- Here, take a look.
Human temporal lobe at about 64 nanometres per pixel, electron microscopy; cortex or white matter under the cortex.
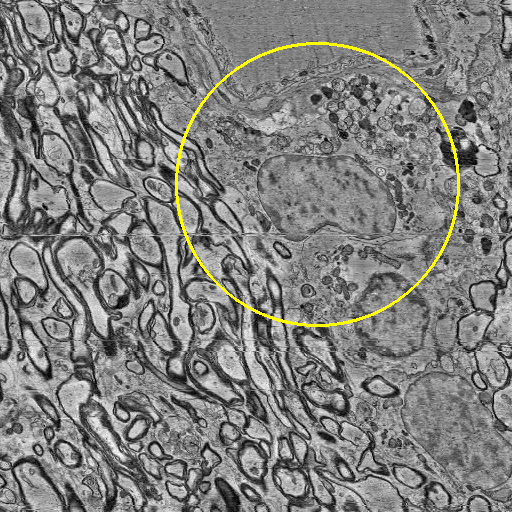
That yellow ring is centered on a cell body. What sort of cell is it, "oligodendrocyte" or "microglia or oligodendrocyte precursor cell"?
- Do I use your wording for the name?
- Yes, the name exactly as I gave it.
microglia or oligodendrocyte precursor cell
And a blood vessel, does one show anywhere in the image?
Yes, the picture includes a blood vessel.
